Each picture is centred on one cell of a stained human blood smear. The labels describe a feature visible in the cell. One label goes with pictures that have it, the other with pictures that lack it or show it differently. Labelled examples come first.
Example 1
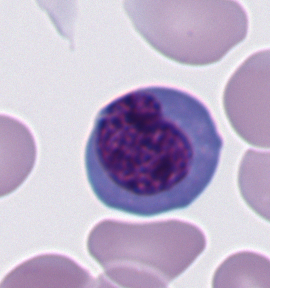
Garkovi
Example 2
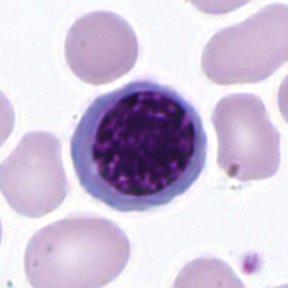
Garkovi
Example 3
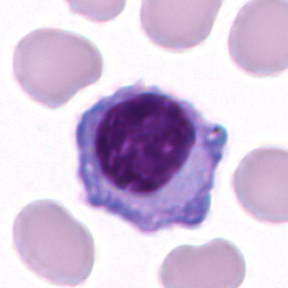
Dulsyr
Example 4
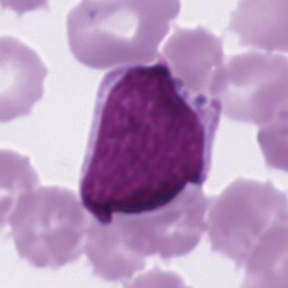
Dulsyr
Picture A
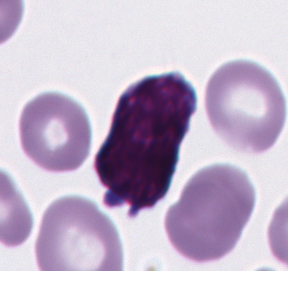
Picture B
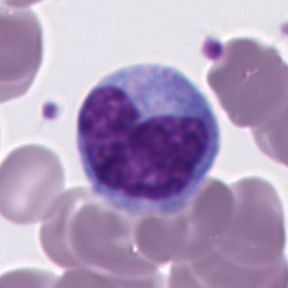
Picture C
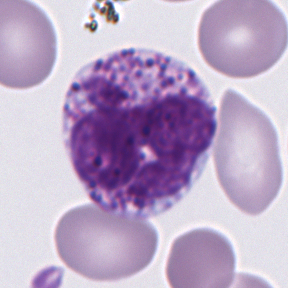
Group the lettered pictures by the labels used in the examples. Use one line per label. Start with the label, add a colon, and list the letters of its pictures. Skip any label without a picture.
Garkovi: B, C
Dulsyr: A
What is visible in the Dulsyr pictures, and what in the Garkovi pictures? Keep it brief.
Dulsyr, ragged outline or projections; Garkovi, smooth outline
